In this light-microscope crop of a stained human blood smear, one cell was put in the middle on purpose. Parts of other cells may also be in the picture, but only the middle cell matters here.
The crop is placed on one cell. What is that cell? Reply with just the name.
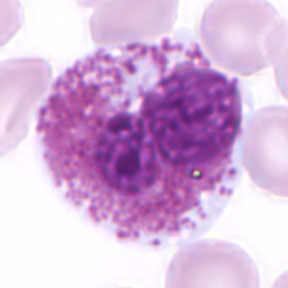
eosinophil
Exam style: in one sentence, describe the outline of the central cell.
A ragged or projecting edge replaces the smooth outline in this cell.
